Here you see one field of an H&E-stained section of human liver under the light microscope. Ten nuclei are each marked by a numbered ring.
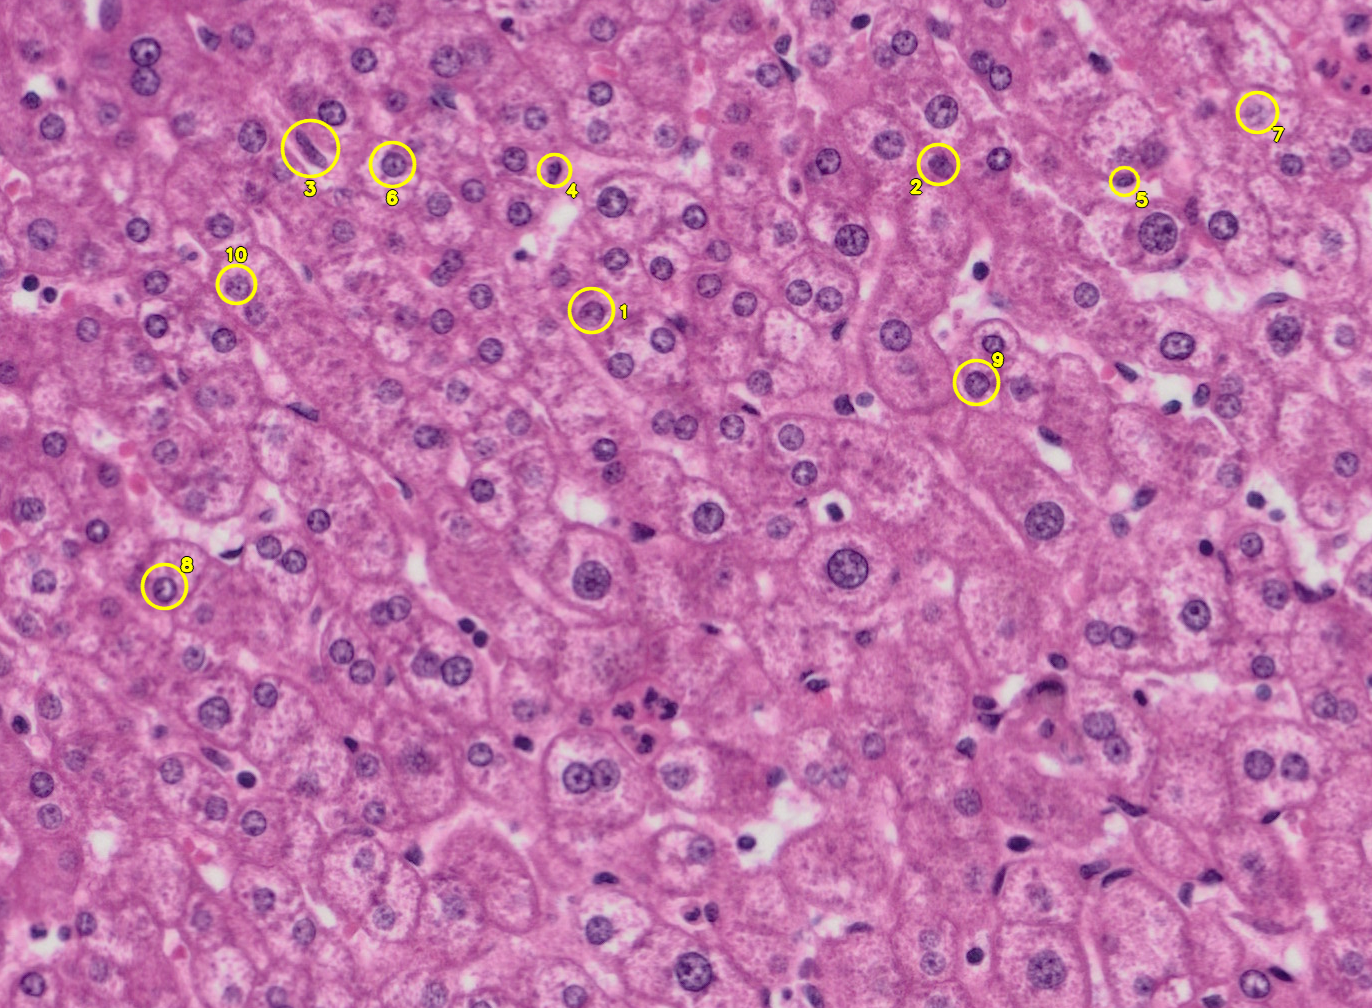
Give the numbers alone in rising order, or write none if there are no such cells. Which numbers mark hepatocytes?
1, 6, 7, 8, 9, 10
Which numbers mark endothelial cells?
2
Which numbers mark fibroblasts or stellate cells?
4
